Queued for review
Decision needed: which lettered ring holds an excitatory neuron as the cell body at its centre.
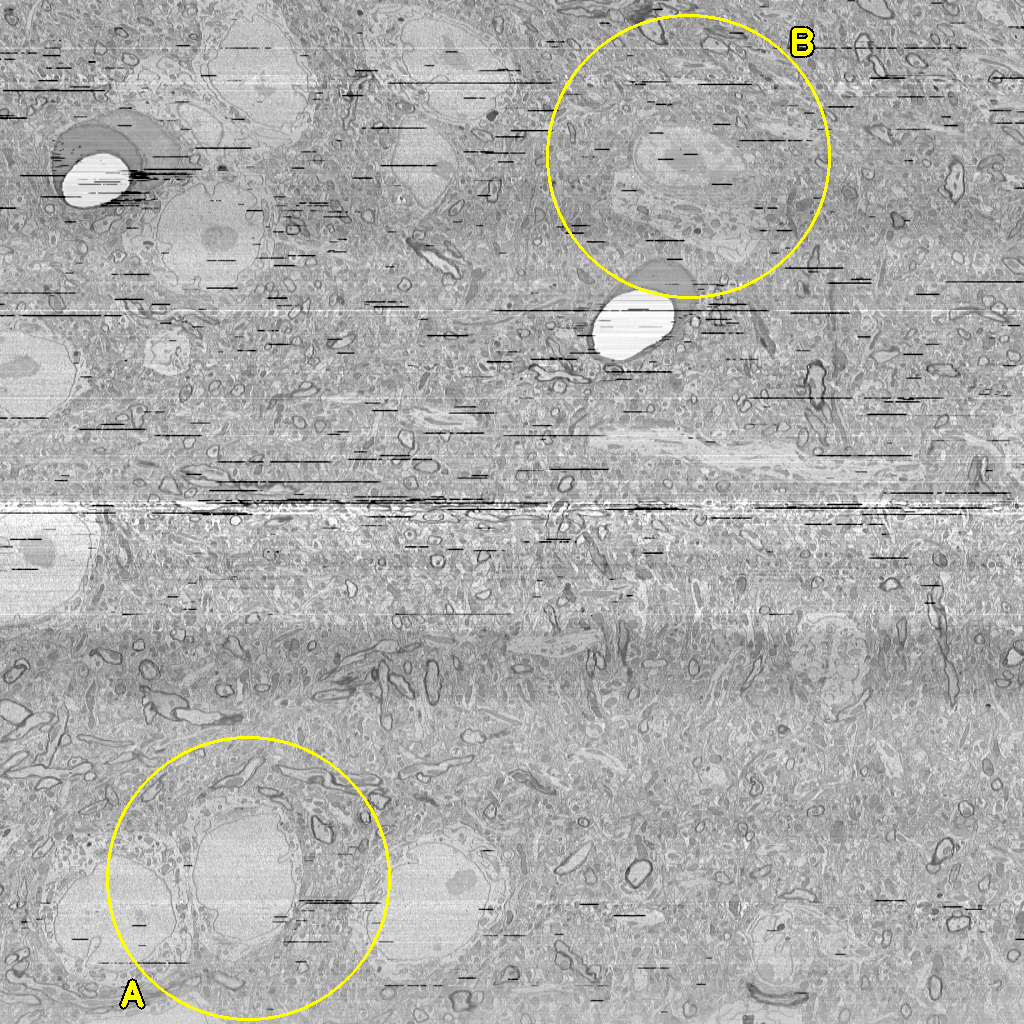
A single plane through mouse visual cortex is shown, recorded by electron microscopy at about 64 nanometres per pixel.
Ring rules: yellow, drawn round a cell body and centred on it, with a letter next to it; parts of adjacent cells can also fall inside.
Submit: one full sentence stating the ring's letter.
The cell asked for is the one at the centre of ring A in the picture.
